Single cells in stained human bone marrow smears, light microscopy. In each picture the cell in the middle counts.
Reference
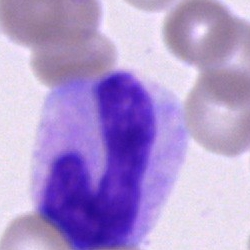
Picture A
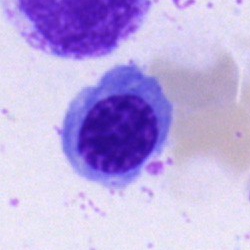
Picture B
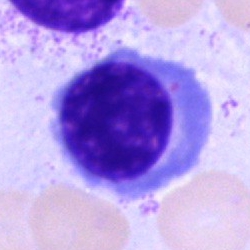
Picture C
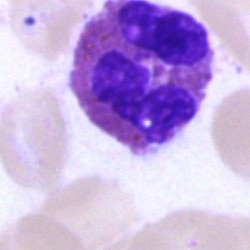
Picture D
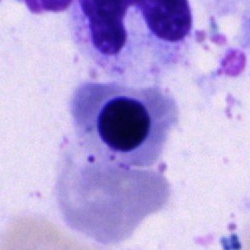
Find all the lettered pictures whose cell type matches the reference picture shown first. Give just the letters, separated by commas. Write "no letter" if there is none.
no letter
